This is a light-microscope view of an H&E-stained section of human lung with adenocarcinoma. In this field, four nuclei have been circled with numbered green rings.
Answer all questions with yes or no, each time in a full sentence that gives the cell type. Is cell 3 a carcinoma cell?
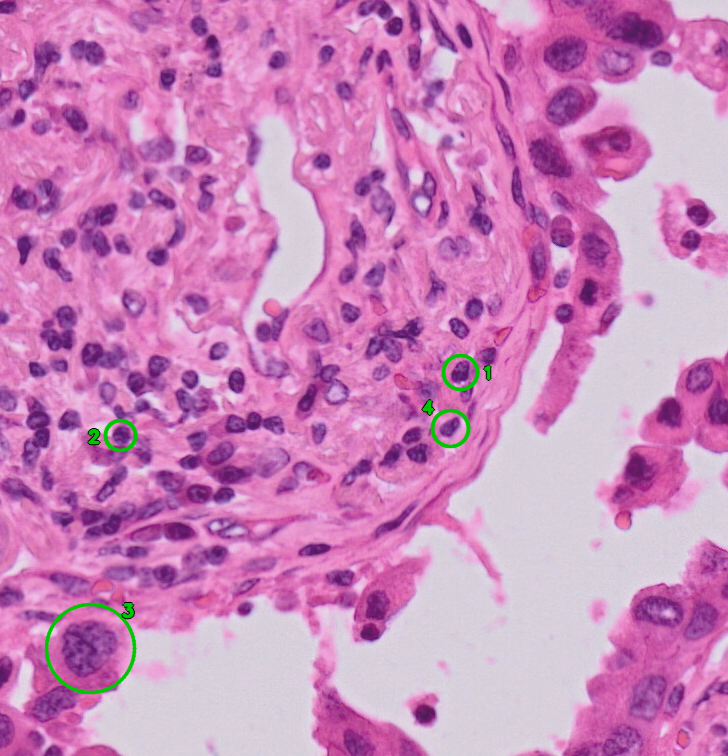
Yes, exactly, the cell numbered 3 is a carcinoma cell.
